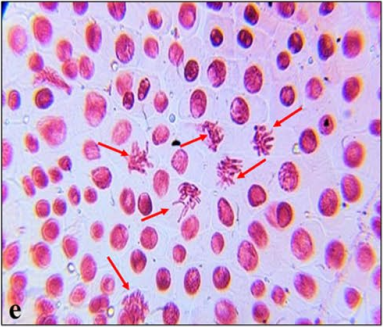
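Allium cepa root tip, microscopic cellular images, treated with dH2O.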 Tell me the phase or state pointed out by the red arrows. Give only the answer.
dividing cells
